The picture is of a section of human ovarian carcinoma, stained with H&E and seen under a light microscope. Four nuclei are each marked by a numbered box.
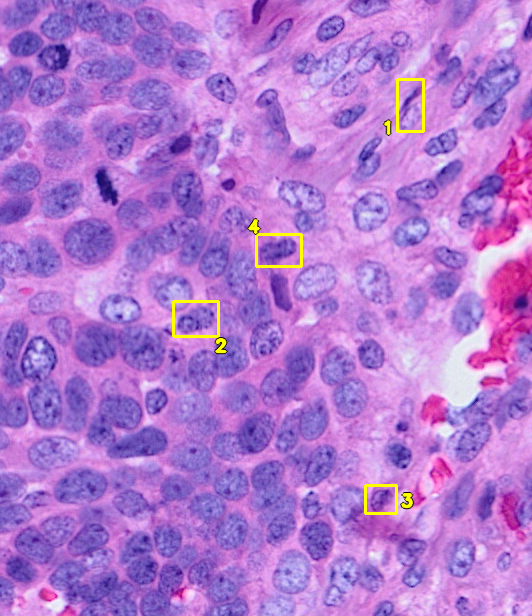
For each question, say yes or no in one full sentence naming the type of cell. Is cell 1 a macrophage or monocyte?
No, that is wrong: cell 1 is a fibroblast, and not a macrophage or monocyte.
